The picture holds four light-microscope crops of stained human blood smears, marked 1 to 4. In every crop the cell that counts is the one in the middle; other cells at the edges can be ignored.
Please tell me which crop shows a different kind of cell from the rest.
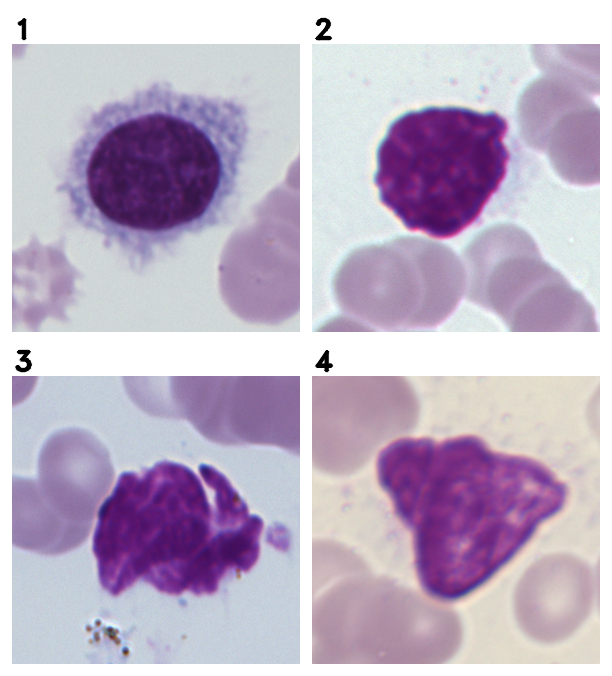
1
